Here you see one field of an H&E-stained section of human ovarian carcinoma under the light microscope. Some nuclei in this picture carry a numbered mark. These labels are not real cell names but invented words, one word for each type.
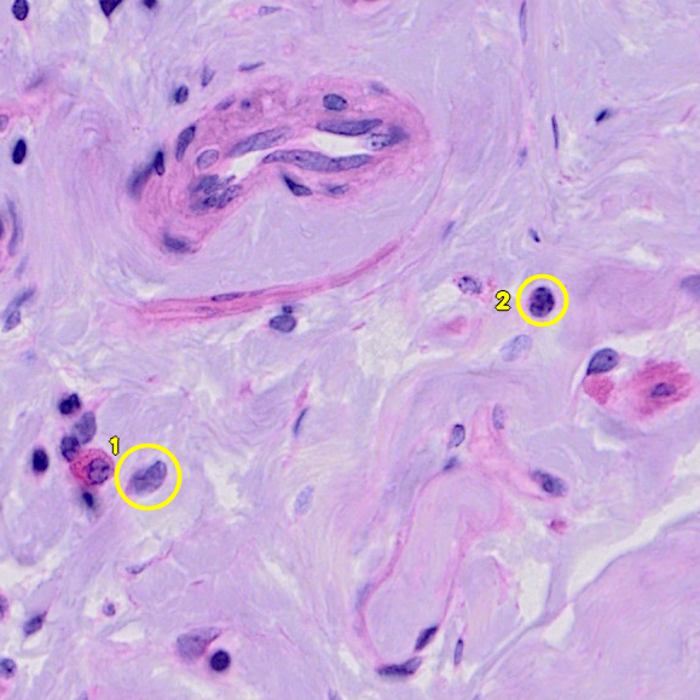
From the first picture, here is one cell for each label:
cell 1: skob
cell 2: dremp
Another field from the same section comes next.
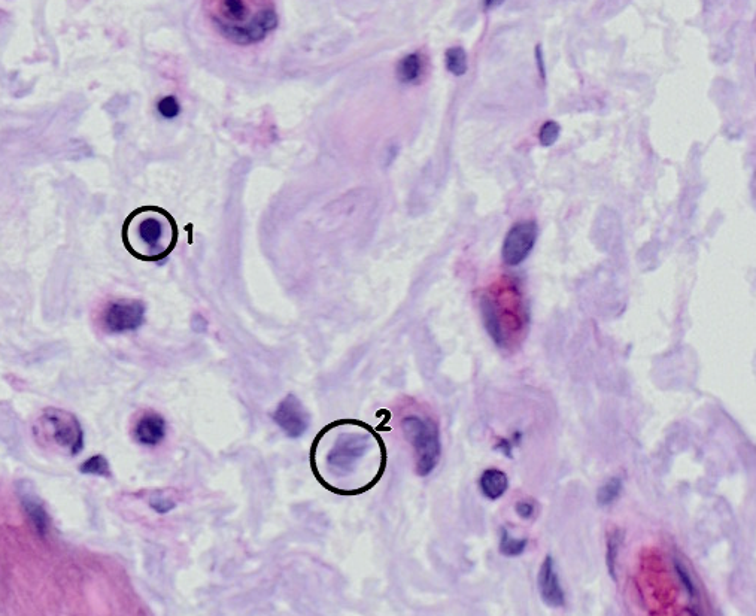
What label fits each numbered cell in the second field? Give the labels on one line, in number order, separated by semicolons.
dremp; skob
